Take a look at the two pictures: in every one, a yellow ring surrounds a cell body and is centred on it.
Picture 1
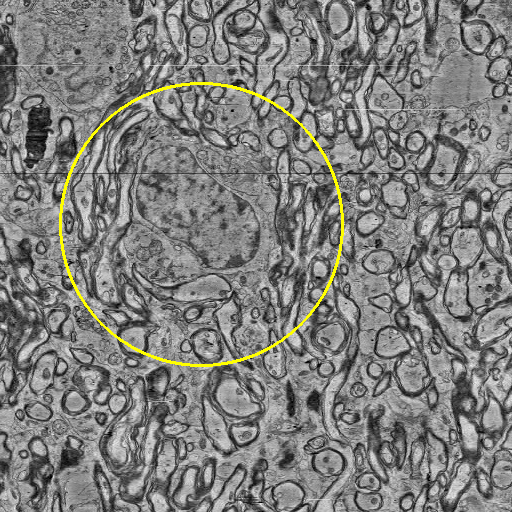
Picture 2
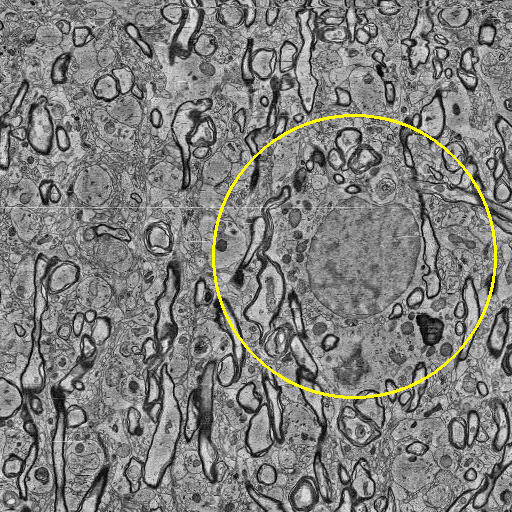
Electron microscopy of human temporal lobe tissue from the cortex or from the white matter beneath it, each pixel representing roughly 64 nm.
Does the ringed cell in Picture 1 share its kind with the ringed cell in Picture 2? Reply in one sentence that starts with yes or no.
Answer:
No, the two centred cells, one per picture, are of two kinds.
